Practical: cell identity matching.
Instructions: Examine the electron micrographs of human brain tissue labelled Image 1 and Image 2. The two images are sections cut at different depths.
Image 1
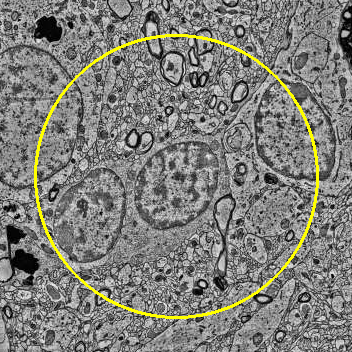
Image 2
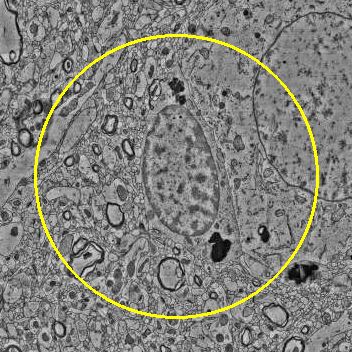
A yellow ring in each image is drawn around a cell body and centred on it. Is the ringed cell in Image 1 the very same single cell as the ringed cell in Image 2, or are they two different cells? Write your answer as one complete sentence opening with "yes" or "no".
No, what the two rings mark is two different cells.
